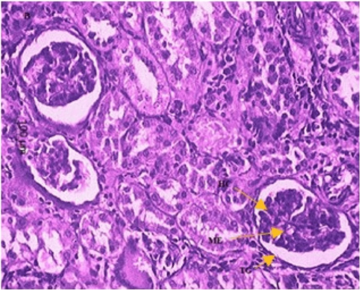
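This section of kidney shows several glomeruli among closely packed renal tubules. The glomeruli are dense, deeply purple capillary tufts with many dark nuclei, each set within a capsule and surrounded by a wide clear space. The tubules around them are lined by epithelial cells with purple cytoplasm and dark nuclei, and many have irregular or narrowed lumens. Thin magenta lines outline the tubules and the capsules. The tissue between the tubules contains crowded dark nuclei.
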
